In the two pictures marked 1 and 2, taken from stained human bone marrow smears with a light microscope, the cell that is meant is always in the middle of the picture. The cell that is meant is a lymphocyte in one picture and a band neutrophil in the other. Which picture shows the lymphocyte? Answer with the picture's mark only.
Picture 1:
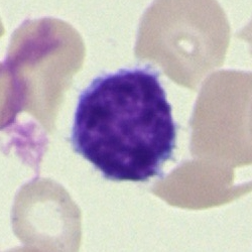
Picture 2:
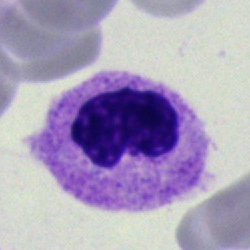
1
